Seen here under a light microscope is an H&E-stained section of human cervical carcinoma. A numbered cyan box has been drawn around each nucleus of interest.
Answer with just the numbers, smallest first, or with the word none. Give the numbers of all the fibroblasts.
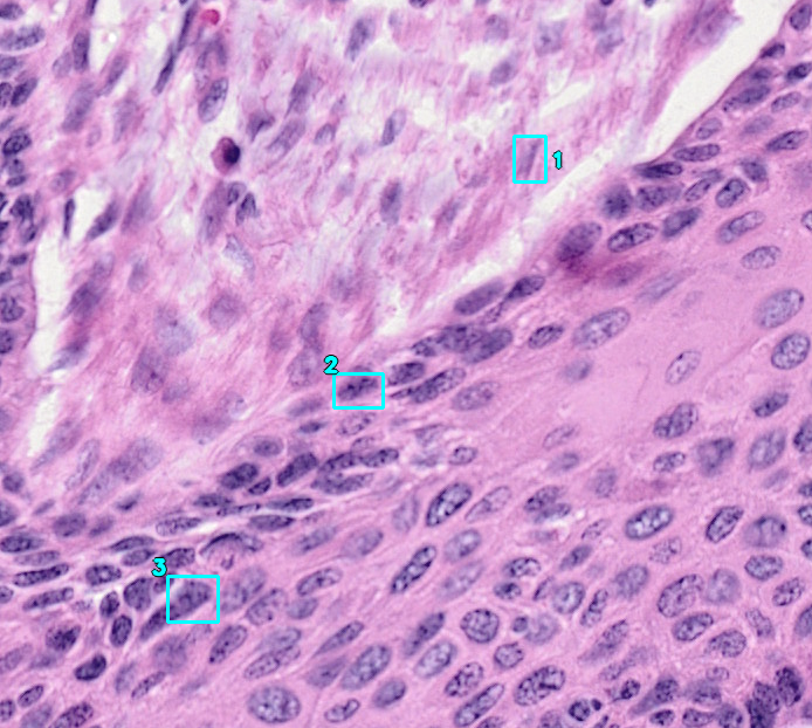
1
